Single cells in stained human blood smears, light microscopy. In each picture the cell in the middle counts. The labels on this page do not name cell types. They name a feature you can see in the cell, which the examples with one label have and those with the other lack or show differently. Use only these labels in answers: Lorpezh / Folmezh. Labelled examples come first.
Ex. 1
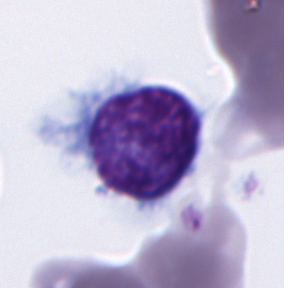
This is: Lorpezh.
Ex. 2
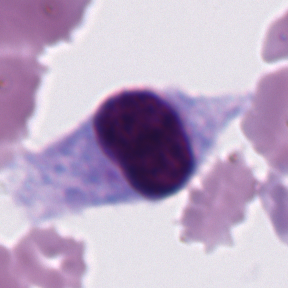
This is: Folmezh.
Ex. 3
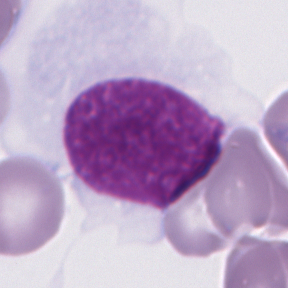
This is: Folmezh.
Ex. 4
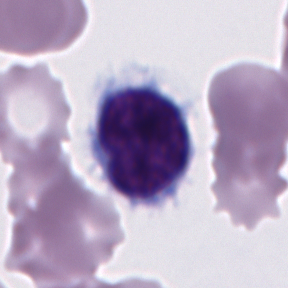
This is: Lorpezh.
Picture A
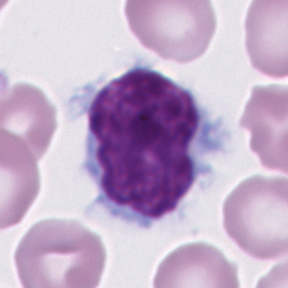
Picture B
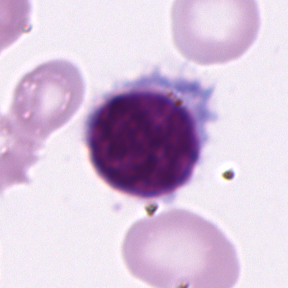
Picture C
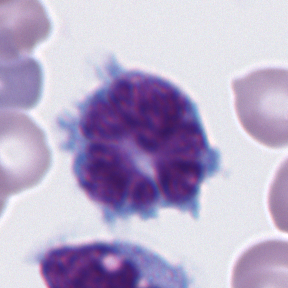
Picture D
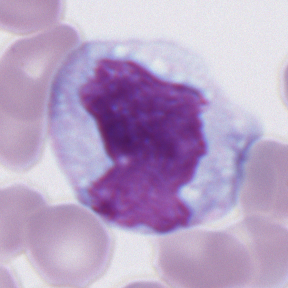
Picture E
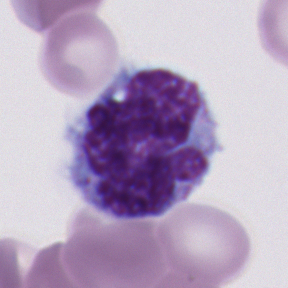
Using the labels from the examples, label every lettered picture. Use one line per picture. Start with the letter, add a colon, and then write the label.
A: Lorpezh.
B: Lorpezh.
C: Lorpezh.
D: Folmezh.
E: Lorpezh.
